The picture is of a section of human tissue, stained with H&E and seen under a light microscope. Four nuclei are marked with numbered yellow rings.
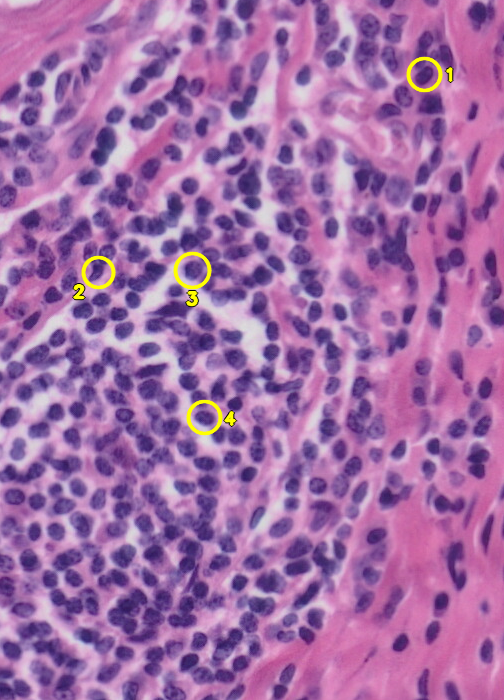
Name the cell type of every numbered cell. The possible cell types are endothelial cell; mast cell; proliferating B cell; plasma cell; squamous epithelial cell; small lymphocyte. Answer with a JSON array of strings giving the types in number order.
["plasma cell", "small lymphocyte", "small lymphocyte", "small lymphocyte"]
